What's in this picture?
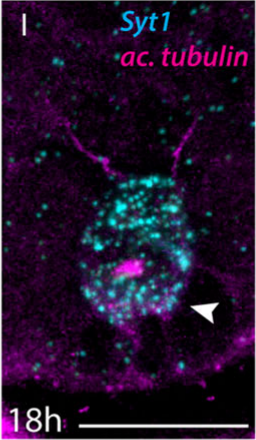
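A single rounded cell sits at the lower part of the field, its cytoplasm densely packed with cyan dots, with a bright magenta spot inside it. From its upper side two thin magenta processes run upward and outward, like fine fibres leaving the cell body. Around it the tissue is dark, with only scattered cyan dots and a faint magenta outline along the body surface below.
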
